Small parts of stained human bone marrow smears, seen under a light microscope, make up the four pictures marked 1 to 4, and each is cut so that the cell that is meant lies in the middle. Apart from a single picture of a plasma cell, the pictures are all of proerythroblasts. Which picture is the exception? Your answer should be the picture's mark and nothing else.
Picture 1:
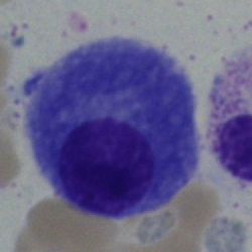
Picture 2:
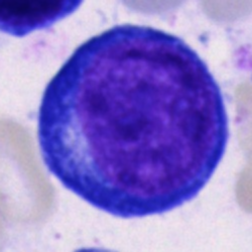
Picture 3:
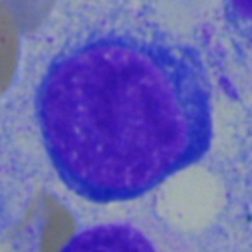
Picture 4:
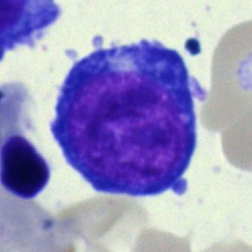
1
